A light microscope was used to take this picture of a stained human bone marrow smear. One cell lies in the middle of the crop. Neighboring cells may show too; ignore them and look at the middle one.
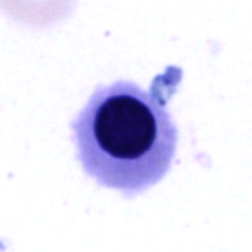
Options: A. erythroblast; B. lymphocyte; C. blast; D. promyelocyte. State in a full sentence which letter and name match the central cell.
The cell in the middle is an erythroblast, and so option A is correct.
